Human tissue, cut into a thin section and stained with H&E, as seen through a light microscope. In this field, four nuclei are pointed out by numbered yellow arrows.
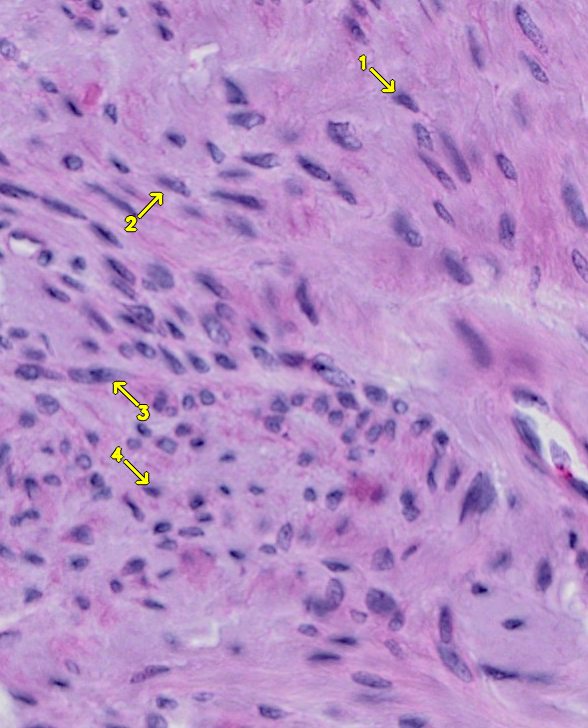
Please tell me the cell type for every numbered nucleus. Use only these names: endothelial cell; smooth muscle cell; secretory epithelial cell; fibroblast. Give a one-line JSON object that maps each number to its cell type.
{"1": "fibroblast", "2": "smooth muscle cell", "3": "smooth muscle cell", "4": "smooth muscle cell"}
